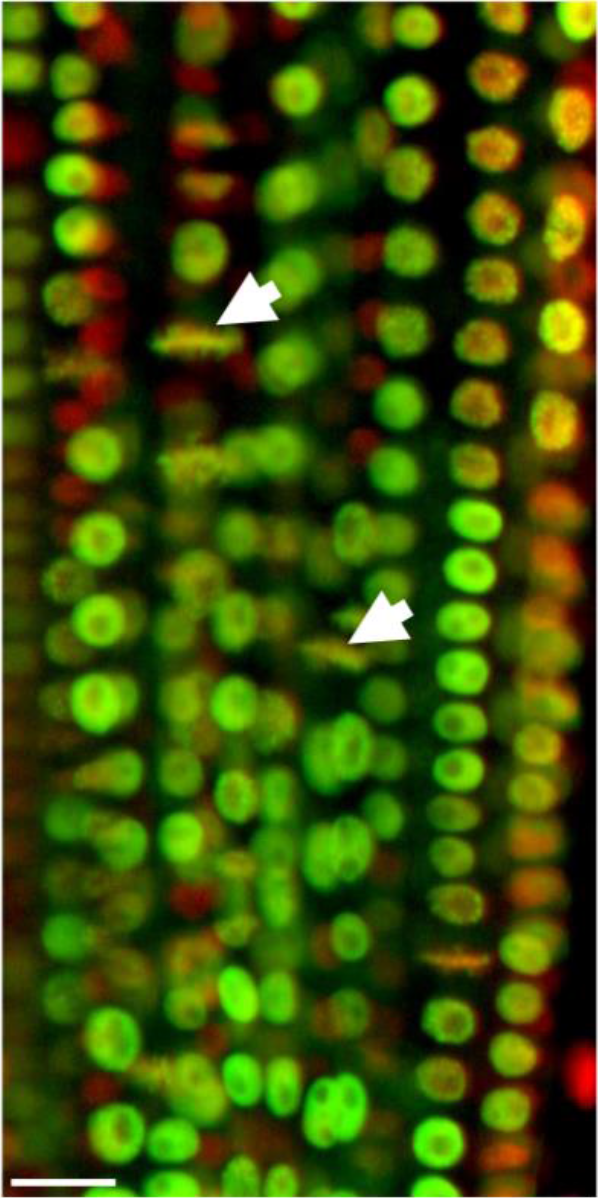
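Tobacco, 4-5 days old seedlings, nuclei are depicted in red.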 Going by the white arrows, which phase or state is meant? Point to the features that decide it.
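The arrows point to thin, flat bands of chromatin rather than round nuclei. The bands lie crosswise to the longitudinal files of cells. Round interphase nuclei lie above and below the bands in the same files.
Conclusion: mitotic plates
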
